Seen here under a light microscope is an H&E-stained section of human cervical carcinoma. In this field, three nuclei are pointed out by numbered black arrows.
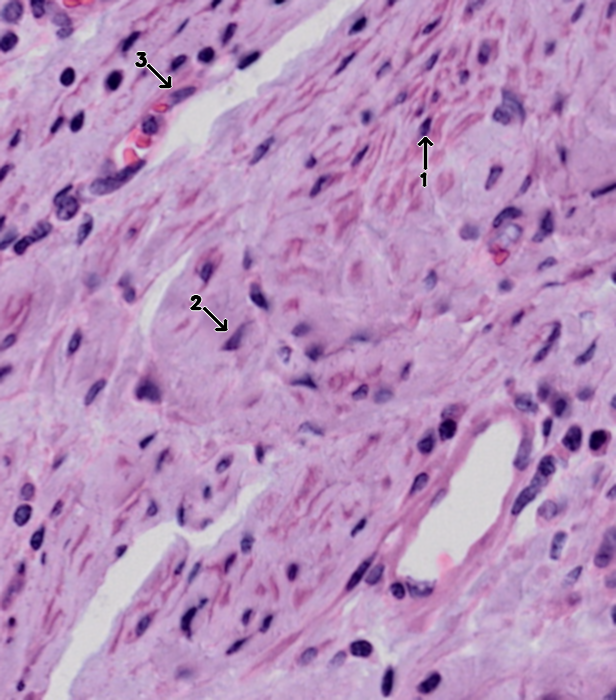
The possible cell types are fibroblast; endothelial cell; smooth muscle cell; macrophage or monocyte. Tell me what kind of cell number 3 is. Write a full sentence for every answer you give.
The cell referred to as 3 is an endothelial cell.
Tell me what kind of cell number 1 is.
Cell 1 in the field is a smooth muscle cell.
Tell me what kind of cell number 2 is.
The cell that is numbered 2 is a fibroblast.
